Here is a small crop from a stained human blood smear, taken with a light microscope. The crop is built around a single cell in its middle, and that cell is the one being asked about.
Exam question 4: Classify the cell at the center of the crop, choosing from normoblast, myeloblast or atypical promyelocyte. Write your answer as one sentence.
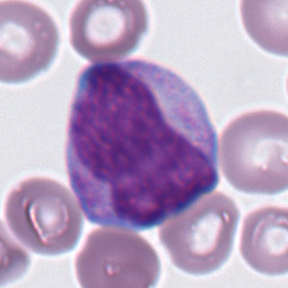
The cell centered in this field of view is an atypical promyelocyte.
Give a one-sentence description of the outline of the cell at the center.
Its outline is smooth, with no projections anywhere along the edge.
